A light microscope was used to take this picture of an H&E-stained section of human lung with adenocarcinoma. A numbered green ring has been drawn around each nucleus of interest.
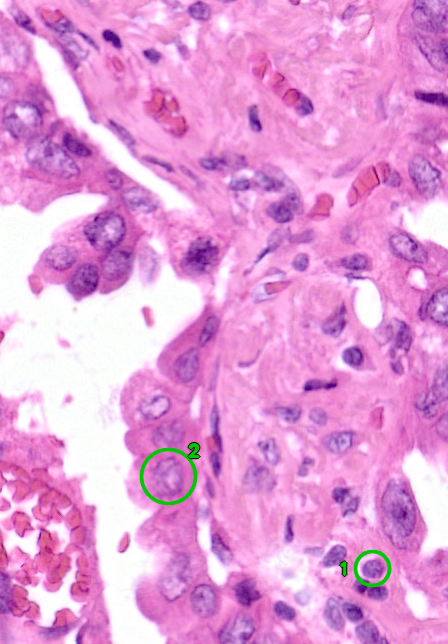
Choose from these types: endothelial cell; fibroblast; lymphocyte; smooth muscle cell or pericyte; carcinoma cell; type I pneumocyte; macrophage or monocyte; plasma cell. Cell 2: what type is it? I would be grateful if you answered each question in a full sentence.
The nucleus labeled 2 belongs to a carcinoma cell.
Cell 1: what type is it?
Heads up, the cell numbered 1 is a lymphocyte.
